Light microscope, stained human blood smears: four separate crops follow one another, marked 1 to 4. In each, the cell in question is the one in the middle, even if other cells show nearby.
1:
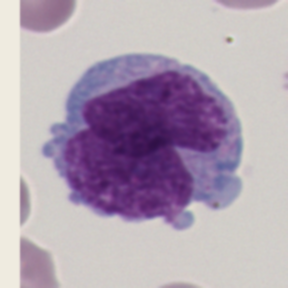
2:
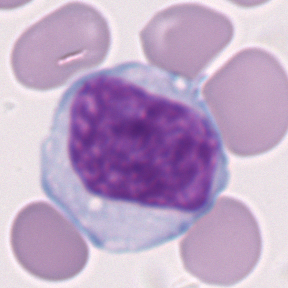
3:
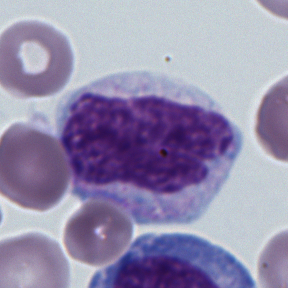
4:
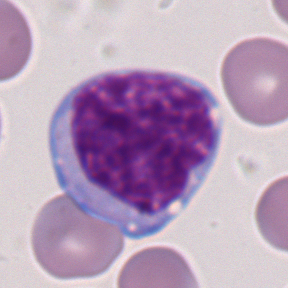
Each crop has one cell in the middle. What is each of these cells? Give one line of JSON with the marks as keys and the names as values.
{"1": "atypical promyelocyte", "2": "myeloblast", "3": "myelocyte", "4": "myeloblast"}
